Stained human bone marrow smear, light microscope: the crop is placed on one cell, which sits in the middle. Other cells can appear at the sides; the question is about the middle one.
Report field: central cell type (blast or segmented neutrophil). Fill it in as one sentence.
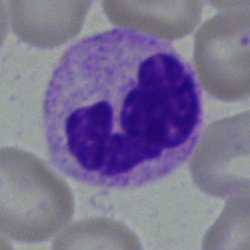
The identification for the central cell is a segmented neutrophil.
